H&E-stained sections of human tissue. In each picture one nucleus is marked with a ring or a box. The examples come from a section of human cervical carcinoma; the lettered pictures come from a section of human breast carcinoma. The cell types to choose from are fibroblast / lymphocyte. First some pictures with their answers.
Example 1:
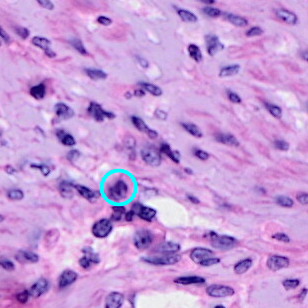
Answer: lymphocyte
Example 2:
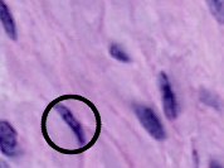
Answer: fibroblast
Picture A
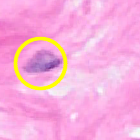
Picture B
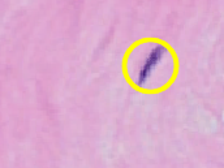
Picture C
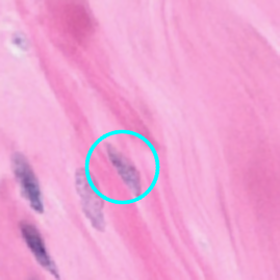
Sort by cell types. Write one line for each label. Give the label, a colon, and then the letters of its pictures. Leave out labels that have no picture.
fibroblast: A, B, C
